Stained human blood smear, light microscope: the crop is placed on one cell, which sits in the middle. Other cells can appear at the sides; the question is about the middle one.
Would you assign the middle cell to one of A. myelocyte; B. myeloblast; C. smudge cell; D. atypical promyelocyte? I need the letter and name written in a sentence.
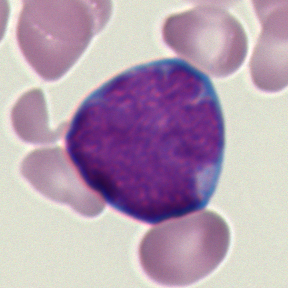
Well, the cell in the middle is a myeloblast, making option B right.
